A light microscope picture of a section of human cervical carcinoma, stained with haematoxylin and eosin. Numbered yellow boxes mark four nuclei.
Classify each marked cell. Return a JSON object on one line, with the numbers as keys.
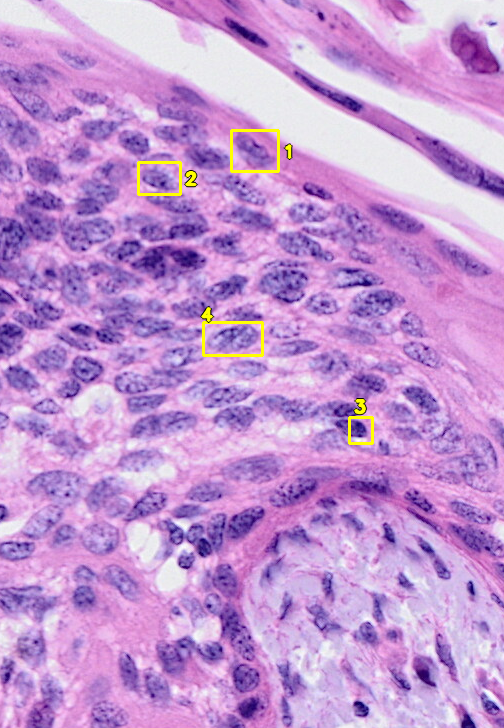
{"1": "squamous carcinoma cell", "2": "squamous carcinoma cell", "3": "lymphocyte", "4": "squamous carcinoma cell"}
